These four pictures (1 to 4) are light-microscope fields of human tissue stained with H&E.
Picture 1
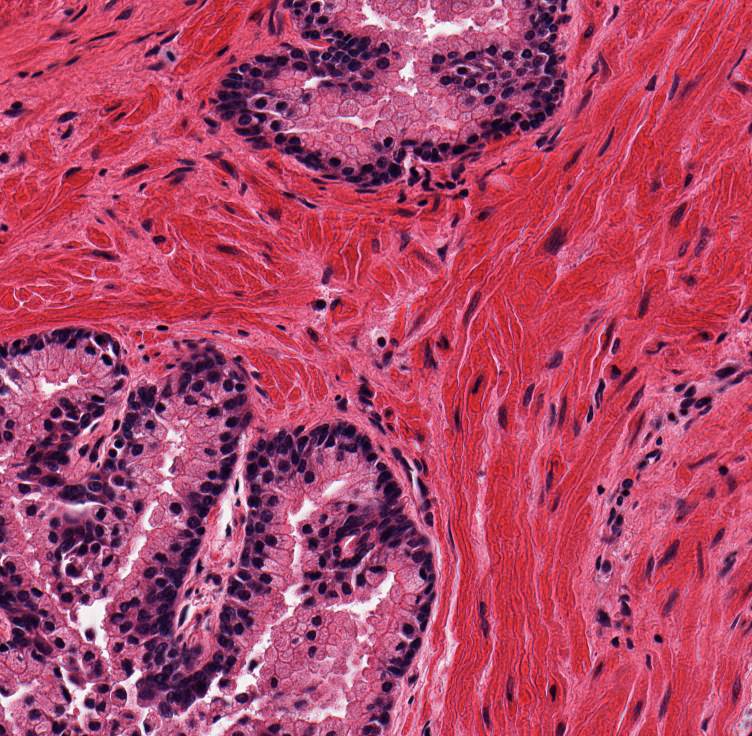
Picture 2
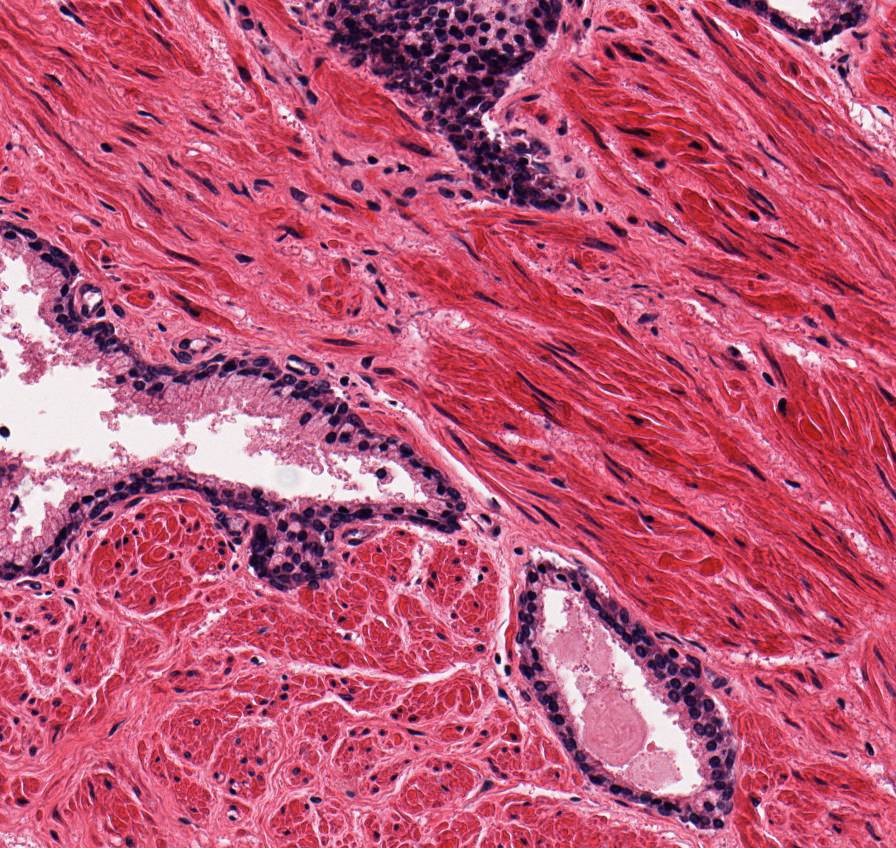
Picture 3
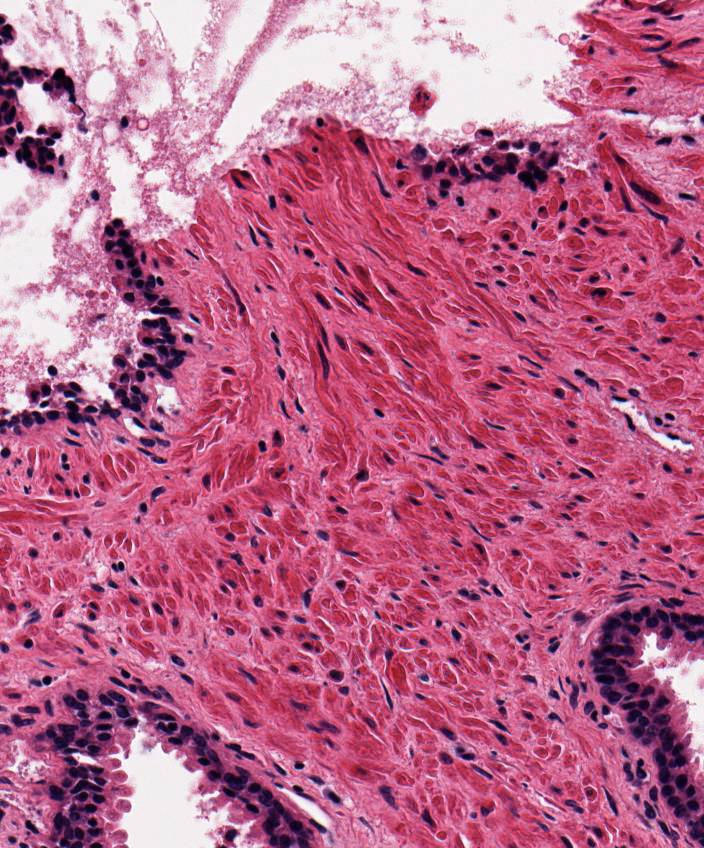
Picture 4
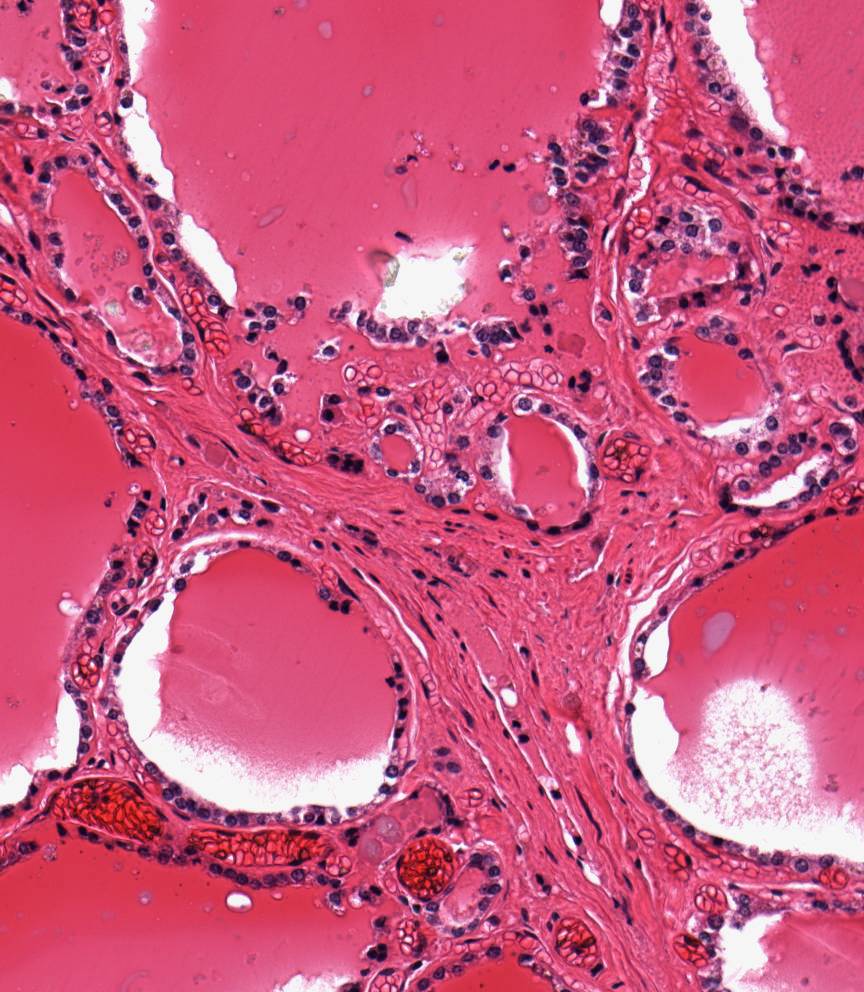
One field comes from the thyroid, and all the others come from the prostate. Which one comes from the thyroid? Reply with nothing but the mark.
4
